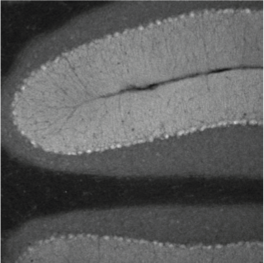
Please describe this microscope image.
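Cerebellar folia with a bright, uniform outer molecular layer and a neat row of bright cell bodies lining its inner edge. The granular layer below is darker, and a dark white-matter core runs along the middle of the folium.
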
